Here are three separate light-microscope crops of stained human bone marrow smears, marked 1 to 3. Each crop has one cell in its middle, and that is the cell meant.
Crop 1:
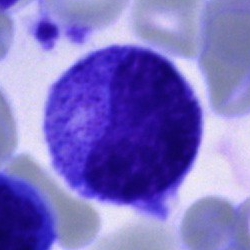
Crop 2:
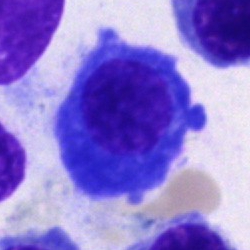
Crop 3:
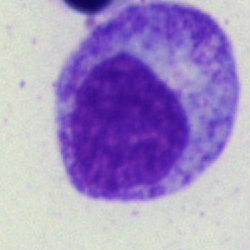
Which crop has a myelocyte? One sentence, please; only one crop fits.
Crop 3 is where a myelocyte is shown.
